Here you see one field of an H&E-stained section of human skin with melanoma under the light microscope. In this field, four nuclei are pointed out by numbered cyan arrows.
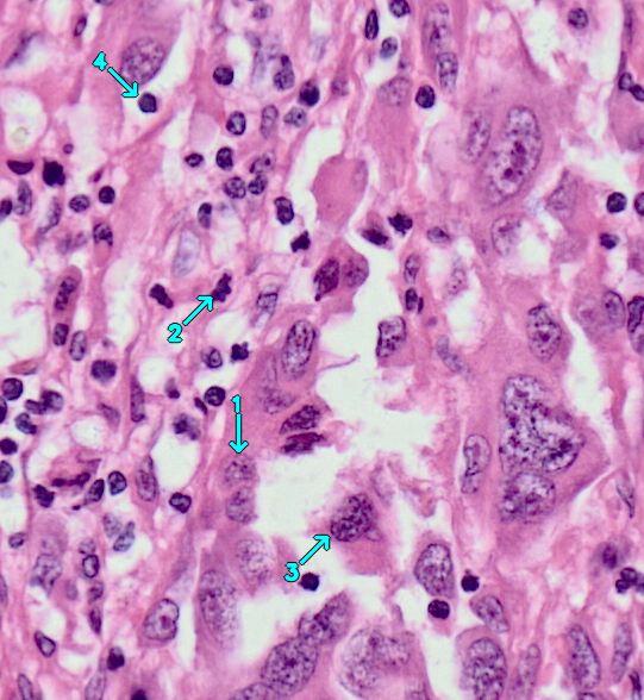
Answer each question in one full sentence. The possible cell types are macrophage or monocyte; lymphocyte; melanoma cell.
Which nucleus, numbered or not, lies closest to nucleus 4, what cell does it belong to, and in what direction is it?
The closest nucleus belongs to a melanoma cell and sits above nucleus 4.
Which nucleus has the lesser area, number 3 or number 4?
Number 4 is smaller, since number 3 takes up about 3 times as much area.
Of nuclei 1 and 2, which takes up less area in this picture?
Number 2 is smaller, since number 1 takes up about 1.5 times as much area.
